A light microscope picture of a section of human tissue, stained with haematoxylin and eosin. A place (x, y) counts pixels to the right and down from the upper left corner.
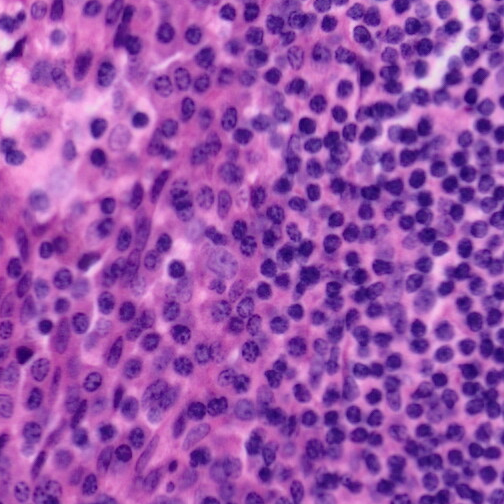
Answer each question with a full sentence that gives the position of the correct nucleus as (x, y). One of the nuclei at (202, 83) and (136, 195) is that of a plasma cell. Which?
Identified as belonging to a plasma cell is the nucleus at (202, 83).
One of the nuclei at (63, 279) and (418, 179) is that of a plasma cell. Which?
The nucleus at (63, 279), rather than the other, belongs to a plasma cell.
